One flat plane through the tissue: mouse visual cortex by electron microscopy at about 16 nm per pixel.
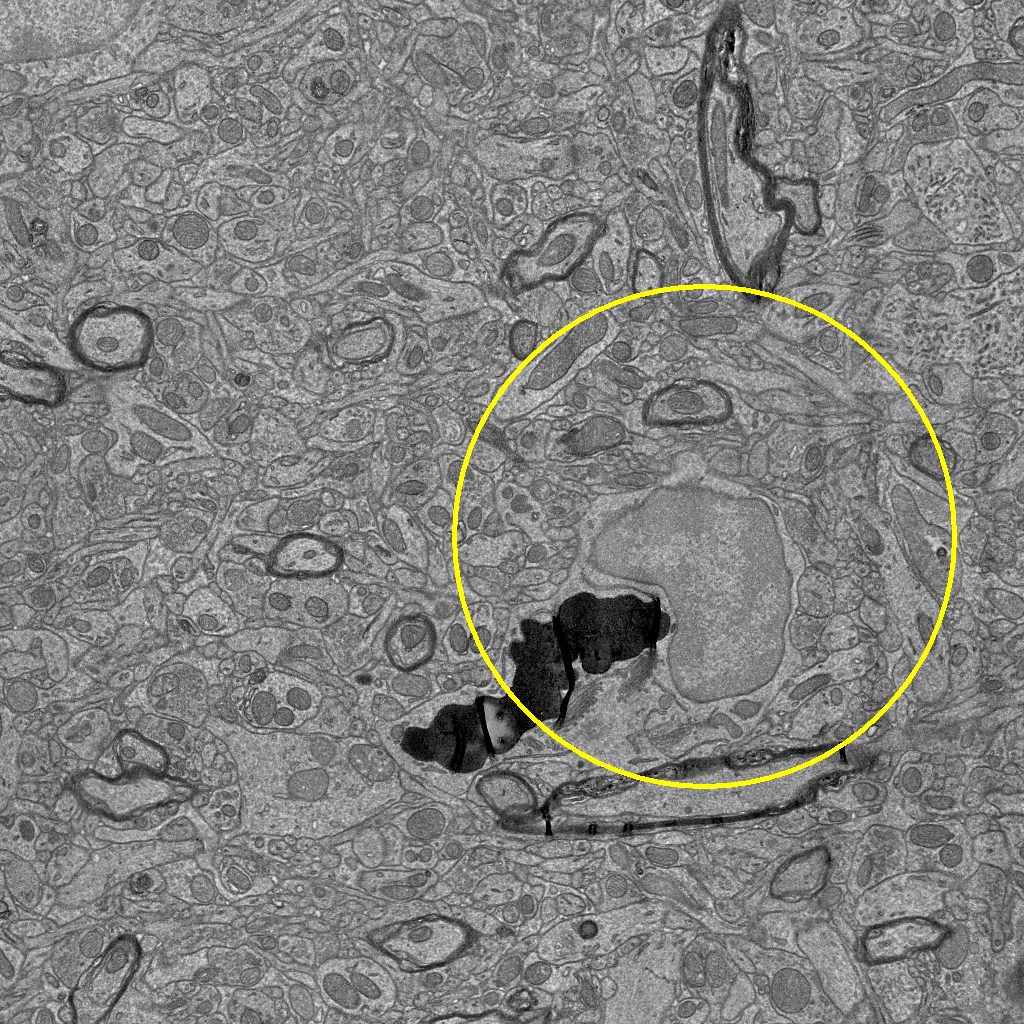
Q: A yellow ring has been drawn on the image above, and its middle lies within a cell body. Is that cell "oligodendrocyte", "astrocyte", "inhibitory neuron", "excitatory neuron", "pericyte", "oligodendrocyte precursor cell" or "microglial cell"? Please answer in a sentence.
The ring's middle lies in the cell body of a microglial cell.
